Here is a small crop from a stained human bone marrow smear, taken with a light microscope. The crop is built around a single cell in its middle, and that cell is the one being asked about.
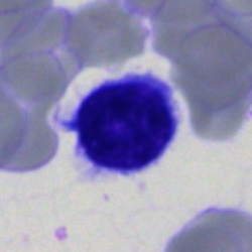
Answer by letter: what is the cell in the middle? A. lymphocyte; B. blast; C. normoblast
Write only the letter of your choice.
A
